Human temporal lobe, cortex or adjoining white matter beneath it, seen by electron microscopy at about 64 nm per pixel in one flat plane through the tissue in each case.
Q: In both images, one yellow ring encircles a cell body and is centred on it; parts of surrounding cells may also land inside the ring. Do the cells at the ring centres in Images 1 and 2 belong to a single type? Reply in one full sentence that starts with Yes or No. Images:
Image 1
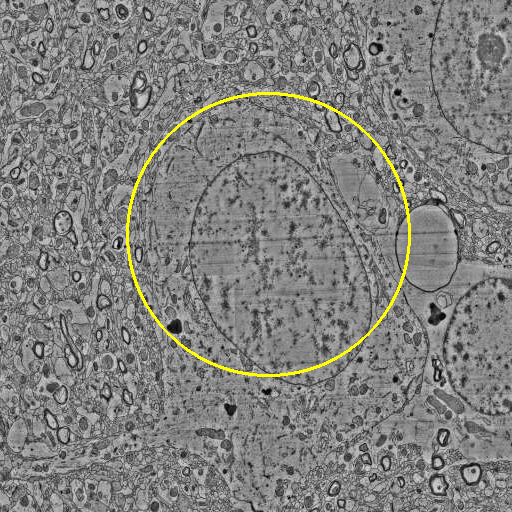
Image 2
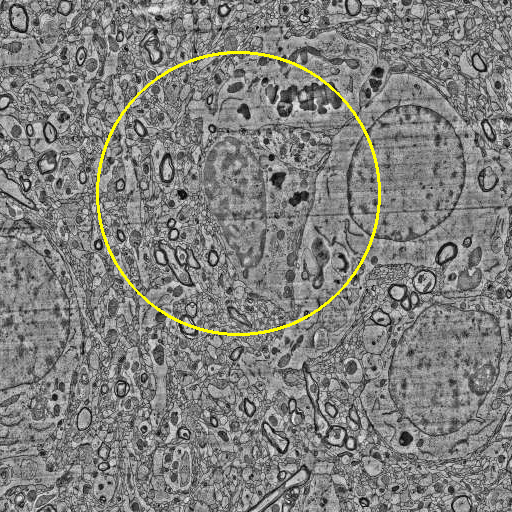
No, the cells at the ring centres in Images 1 and 2 are of two types.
